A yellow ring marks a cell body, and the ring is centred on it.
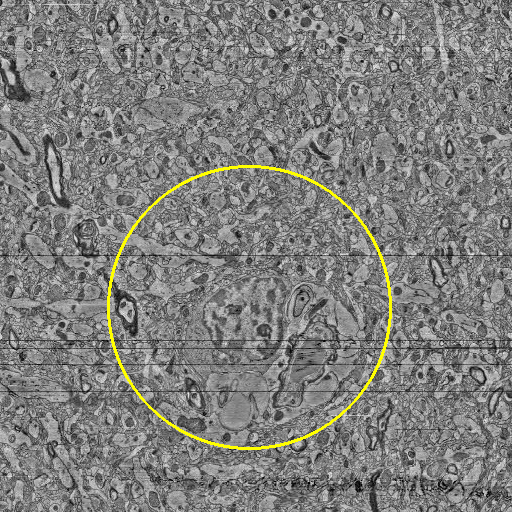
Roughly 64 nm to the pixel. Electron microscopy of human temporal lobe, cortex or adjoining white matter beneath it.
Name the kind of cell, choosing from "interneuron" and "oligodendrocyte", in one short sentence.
The marked cell body belongs to an oligodendrocyte.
